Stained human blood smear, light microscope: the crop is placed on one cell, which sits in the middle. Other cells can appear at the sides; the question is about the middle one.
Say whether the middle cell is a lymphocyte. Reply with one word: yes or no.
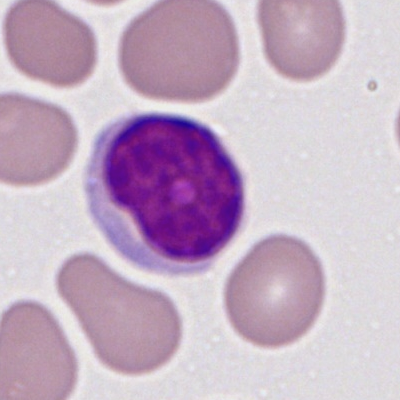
yes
